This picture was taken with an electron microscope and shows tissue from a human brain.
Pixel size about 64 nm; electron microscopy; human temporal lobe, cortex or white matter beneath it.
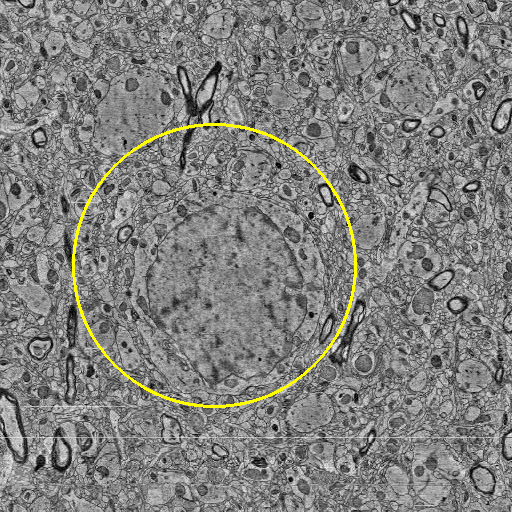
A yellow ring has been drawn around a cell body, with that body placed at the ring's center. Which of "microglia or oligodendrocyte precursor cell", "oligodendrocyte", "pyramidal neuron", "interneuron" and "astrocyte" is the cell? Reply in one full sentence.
In this picture, an interneuron is the cell at the center of the yellow ring.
